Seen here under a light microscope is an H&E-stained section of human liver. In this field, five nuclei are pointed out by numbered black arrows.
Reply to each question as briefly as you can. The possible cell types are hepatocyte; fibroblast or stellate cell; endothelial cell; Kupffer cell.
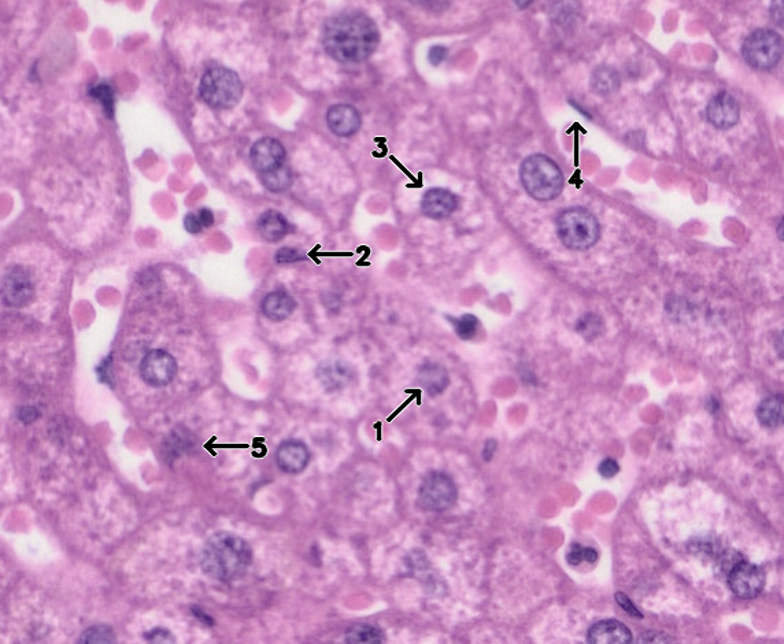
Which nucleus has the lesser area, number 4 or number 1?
4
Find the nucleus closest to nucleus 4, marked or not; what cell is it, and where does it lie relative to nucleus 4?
a hepatocyte; above and to the right of nucleus 4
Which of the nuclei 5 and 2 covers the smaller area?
2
